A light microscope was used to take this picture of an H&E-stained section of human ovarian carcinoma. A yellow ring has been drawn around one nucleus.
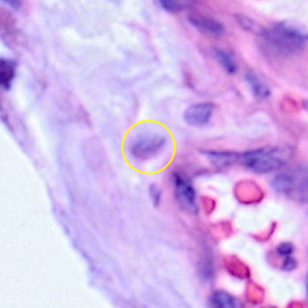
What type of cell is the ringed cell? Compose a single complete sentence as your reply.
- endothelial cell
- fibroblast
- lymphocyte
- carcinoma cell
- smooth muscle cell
As far as its identity is concerned, the ringed cell is a fibroblast.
